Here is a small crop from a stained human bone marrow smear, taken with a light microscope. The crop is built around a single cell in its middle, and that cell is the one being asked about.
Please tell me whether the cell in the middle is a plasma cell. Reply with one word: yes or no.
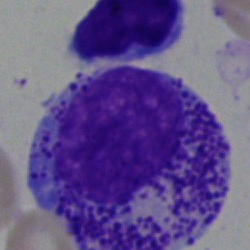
no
